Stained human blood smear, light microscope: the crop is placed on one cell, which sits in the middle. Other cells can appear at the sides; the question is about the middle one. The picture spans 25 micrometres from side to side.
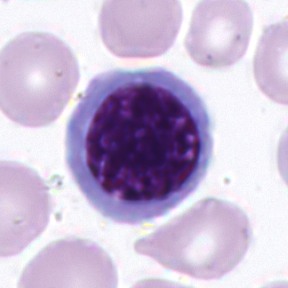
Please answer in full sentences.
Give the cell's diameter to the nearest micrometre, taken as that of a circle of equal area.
About 13 micrometres: that is the cell's diameter.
